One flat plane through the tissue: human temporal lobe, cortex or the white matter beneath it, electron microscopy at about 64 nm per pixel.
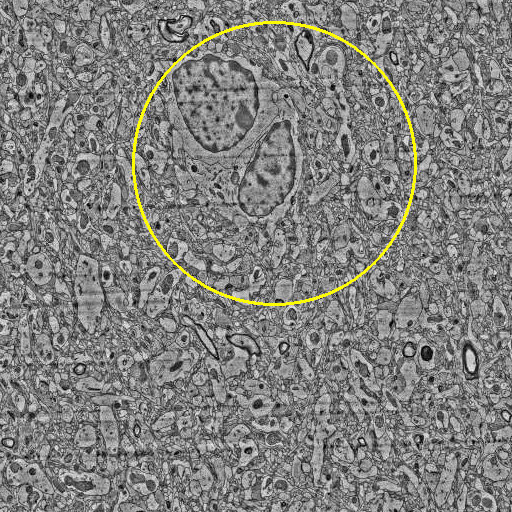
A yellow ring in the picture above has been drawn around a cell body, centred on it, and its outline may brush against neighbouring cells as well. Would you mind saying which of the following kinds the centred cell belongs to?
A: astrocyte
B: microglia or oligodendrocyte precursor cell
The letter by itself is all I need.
B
